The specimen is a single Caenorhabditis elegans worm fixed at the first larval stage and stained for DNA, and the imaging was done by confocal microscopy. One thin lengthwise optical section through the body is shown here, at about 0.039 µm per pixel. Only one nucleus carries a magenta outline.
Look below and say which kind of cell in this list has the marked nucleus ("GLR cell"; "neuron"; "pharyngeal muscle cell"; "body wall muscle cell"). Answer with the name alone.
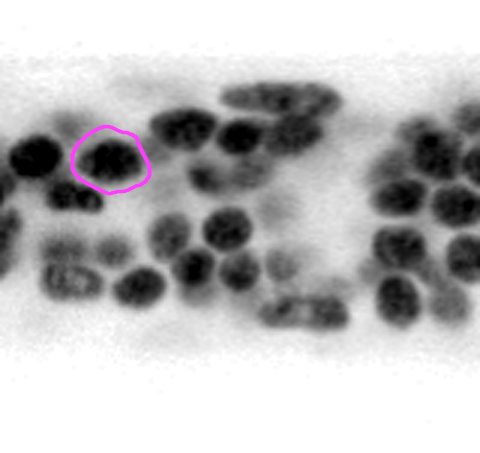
neuron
